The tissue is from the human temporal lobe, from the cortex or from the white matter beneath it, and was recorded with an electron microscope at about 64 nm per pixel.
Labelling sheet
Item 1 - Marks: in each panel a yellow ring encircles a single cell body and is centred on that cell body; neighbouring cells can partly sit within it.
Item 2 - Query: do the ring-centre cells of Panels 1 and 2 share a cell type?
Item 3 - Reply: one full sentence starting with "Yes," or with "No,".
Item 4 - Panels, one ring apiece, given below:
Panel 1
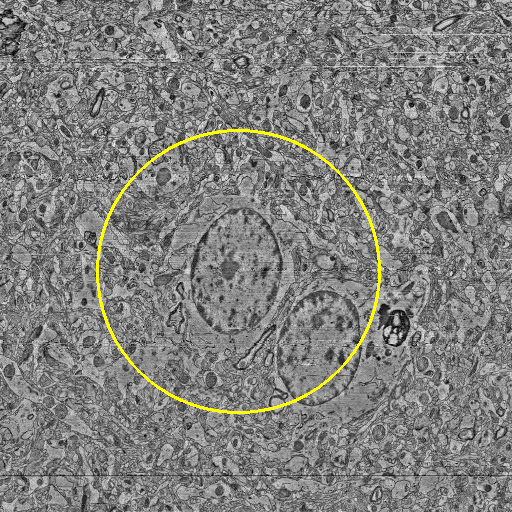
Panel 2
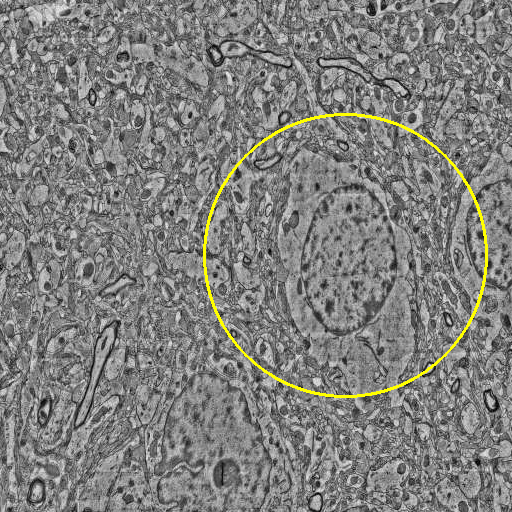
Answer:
Yes, Panel 1 and Panel 2 show one cell type at the centres of their rings.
